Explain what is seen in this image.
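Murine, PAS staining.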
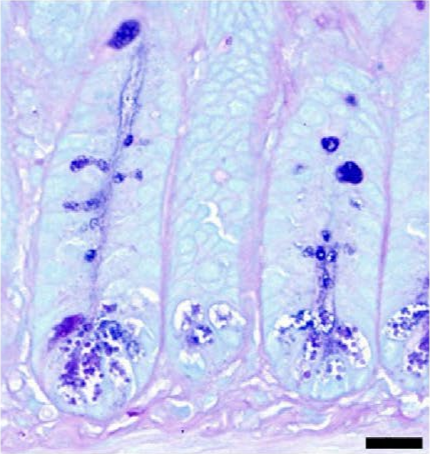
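Intestinal crypts are seen in length against a pale blue-grey background, with faint outlines of the lining epithelial cells. At the crypt bottoms, cells hold clusters of small round purple-stained granules, and purple material also lines the narrow crypt lumen and forms scattered blobs higher up. These granular cells at the crypt bases are Paneth cells, their secretory granules picked out by the purple stain.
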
